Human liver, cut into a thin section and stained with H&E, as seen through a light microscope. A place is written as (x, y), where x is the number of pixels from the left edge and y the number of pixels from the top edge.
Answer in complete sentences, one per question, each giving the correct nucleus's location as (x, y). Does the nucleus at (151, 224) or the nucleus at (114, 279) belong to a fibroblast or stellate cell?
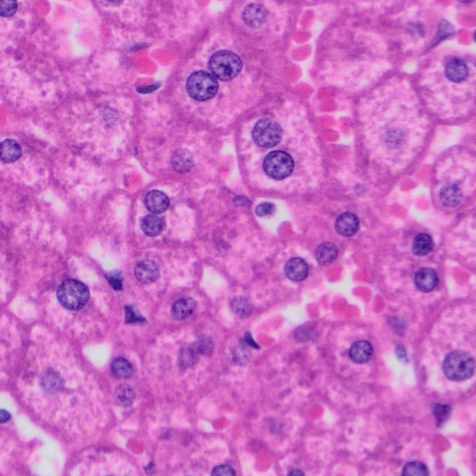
Identify the nucleus at (114, 279) as the one belonging to a fibroblast or stellate cell.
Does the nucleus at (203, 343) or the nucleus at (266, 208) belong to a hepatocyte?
Of the two options, the nucleus at (203, 343) is the one that belongs to a hepatocyte.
